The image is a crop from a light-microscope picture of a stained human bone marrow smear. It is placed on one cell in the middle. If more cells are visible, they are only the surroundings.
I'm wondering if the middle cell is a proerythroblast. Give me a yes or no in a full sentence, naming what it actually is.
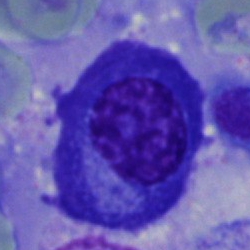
No, the central cell is a plasma cell, not a proerythroblast.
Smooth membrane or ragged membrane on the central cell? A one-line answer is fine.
The cell is outlined unevenly, the border being ragged or extended into projections.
